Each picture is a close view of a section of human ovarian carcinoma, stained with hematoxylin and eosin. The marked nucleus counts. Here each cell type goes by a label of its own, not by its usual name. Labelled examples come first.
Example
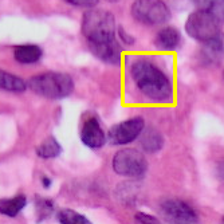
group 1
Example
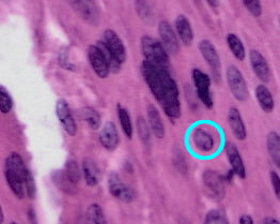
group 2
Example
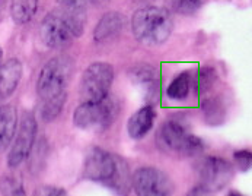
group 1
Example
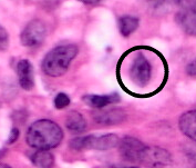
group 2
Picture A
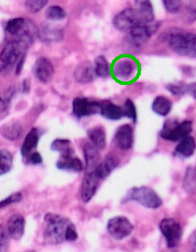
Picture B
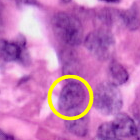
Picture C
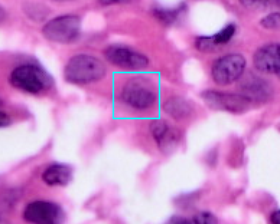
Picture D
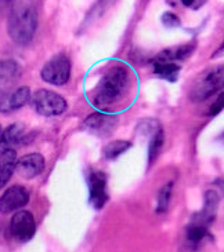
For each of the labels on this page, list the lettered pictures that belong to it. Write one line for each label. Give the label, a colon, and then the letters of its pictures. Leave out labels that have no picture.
group 1: A, B, C, D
